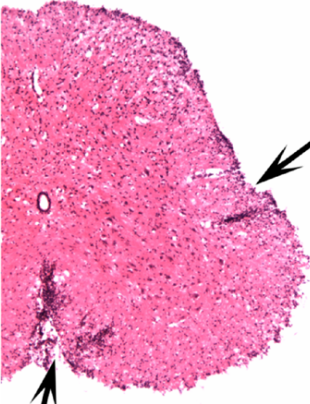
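A cross-section of spinal cord, stained pink with scattered purple nuclei, showing part of the grey matter with the small round central canal and the surrounding white matter out to the pial surface. Small blood vessels appear as pale slits and holes. In several places dark purple clusters of densely packed small nuclei stand out: one along the surface at the side, others near the ventral fissure below the central canal, where the crowding spreads into the adjacent tissue. Such dense aggregates of small round nuclei around vessels and at the surface are inflammatory infiltrates within the spinal cord.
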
